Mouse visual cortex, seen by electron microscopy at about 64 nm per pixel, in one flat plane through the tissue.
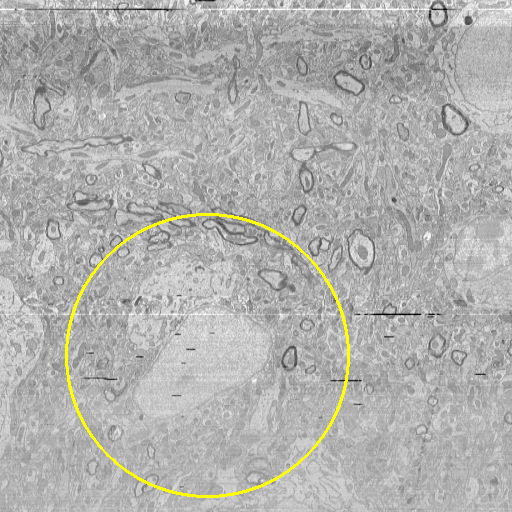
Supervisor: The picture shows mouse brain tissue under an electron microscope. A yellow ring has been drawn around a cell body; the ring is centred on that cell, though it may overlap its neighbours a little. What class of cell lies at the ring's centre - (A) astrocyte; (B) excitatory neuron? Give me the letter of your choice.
A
